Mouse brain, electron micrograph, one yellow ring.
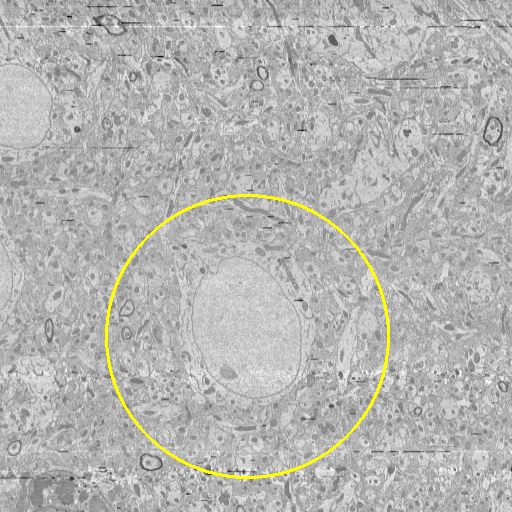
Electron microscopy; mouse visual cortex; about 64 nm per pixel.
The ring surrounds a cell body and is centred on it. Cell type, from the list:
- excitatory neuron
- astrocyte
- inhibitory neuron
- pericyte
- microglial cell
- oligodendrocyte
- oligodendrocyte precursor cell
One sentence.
The yellow ring circles an excitatory neuron.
